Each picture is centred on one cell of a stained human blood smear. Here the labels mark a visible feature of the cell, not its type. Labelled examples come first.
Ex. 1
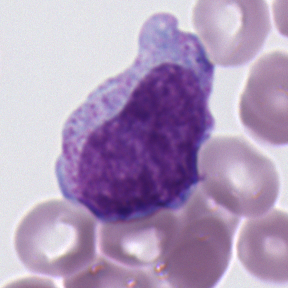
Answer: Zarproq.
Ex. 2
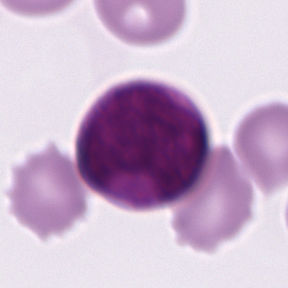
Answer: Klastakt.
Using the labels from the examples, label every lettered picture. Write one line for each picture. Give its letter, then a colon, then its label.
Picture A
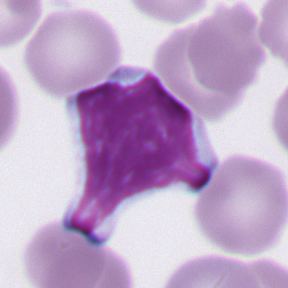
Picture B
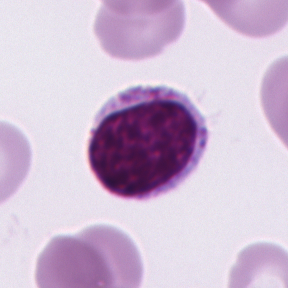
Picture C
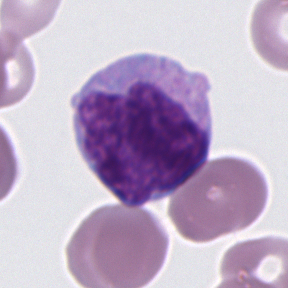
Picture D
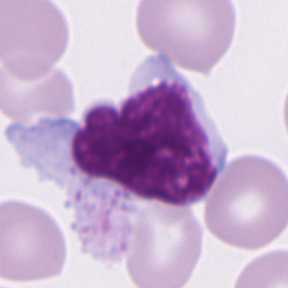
A: Zarproq.
B: Zarproq.
C: Zarproq.
D: Zarproq.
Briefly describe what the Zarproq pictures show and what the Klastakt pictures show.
Seen in Zarproq: ragged outline or projections; seen in Klastakt: smooth outline.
